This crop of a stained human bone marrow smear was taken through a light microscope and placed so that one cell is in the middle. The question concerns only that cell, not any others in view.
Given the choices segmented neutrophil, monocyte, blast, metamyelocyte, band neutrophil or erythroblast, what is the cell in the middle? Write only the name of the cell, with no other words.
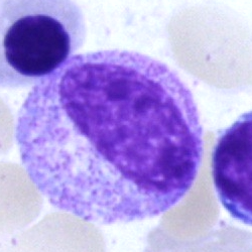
metamyelocyte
